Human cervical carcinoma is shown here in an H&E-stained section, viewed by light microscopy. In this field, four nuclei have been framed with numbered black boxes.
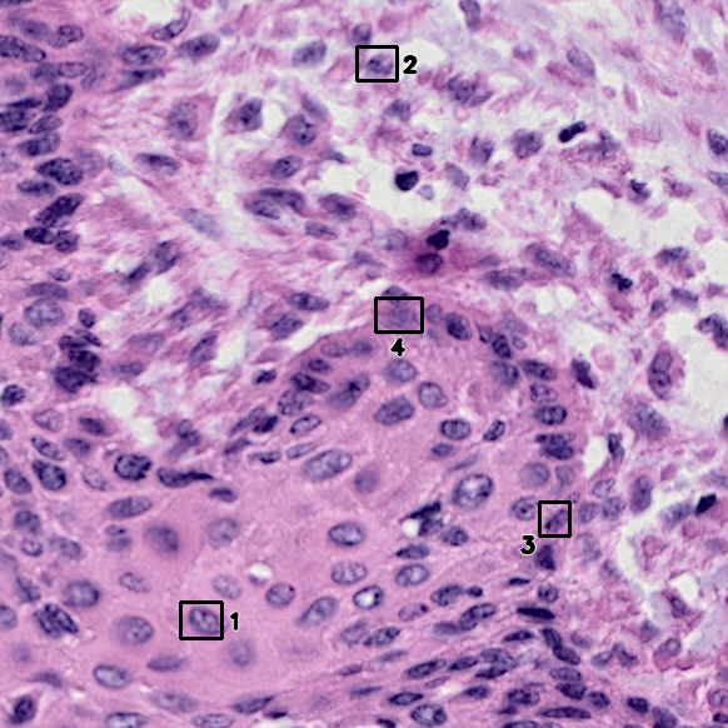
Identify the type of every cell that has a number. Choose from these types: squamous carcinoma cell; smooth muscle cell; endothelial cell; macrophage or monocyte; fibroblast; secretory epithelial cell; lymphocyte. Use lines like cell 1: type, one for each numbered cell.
cell 1: squamous carcinoma cell
cell 2: fibroblast
cell 3: squamous carcinoma cell
cell 4: squamous carcinoma cell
